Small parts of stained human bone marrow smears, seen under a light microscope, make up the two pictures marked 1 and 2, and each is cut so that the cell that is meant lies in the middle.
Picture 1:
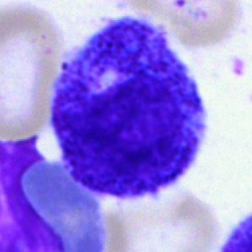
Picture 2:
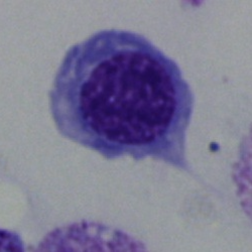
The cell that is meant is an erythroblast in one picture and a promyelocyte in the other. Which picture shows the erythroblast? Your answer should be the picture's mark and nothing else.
2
